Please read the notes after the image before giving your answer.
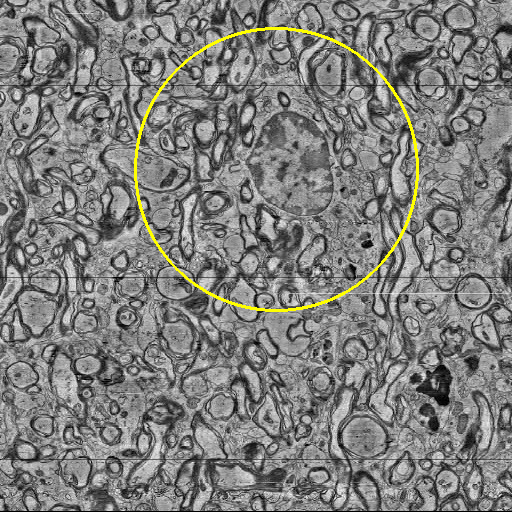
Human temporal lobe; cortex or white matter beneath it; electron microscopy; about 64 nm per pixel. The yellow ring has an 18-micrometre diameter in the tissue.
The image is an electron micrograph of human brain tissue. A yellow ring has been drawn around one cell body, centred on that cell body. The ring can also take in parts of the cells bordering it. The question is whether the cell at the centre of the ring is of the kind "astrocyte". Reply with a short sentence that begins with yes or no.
No, the cell at the centre is of another kind.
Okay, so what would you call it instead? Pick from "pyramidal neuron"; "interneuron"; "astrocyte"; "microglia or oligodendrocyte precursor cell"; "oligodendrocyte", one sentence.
The cell at the middle of the ring is a microglial cell or oligodendrocyte precursor cell.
